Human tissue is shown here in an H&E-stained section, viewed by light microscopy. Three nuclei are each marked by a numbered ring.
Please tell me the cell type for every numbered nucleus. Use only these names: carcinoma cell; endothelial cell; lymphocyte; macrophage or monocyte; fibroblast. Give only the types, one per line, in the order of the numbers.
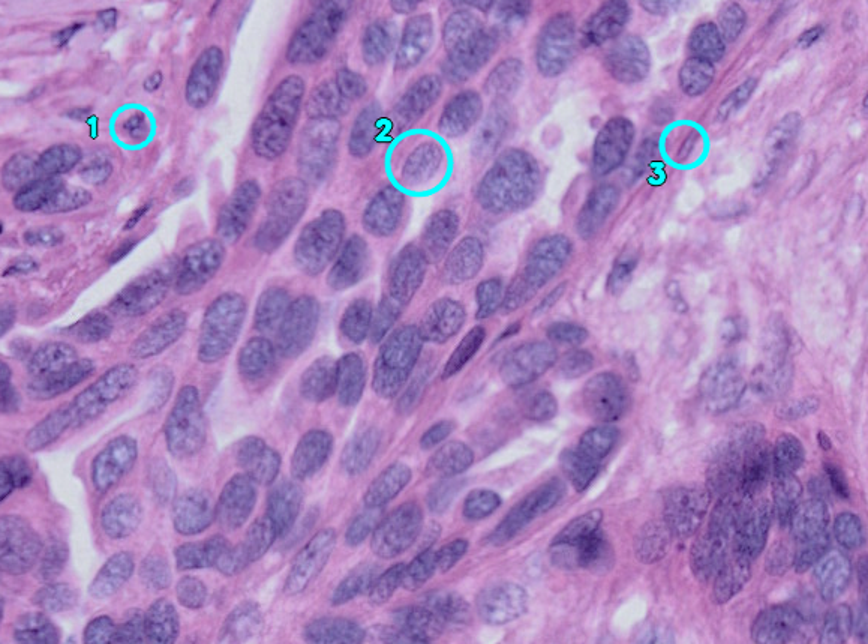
fibroblast
carcinoma cell
fibroblast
